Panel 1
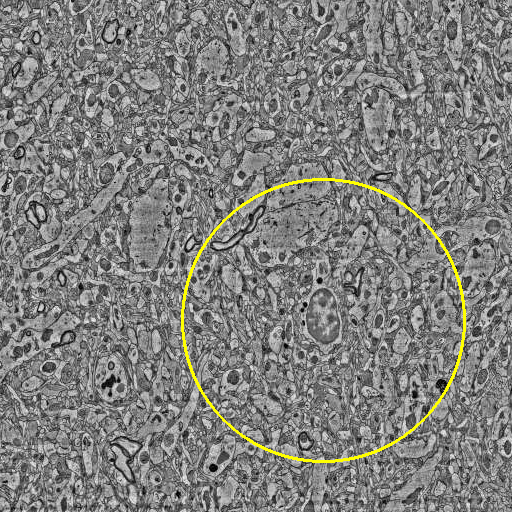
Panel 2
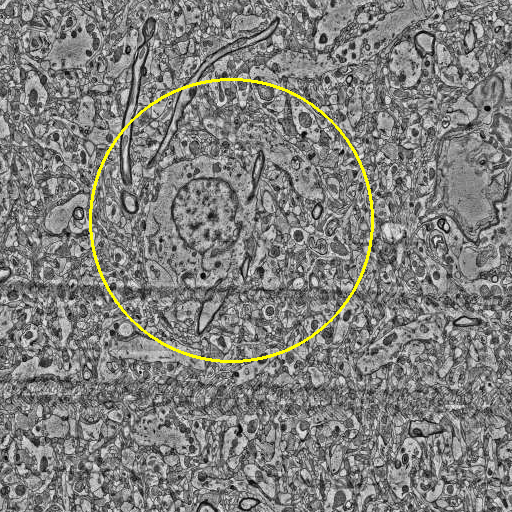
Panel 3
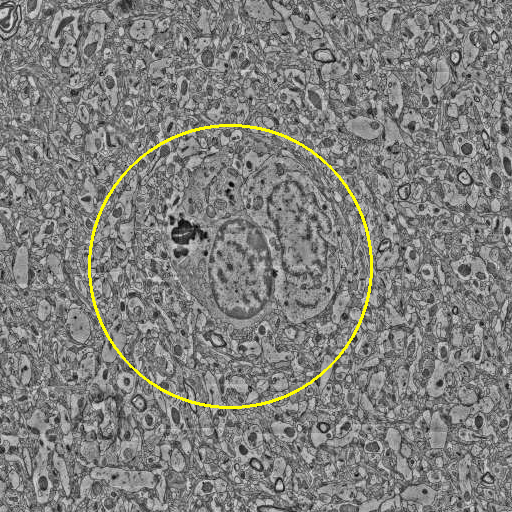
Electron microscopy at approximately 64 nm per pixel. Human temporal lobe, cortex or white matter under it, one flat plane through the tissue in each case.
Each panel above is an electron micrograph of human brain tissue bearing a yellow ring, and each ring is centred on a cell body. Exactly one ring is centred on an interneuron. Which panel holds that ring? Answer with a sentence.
That ring is in Panel 2.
